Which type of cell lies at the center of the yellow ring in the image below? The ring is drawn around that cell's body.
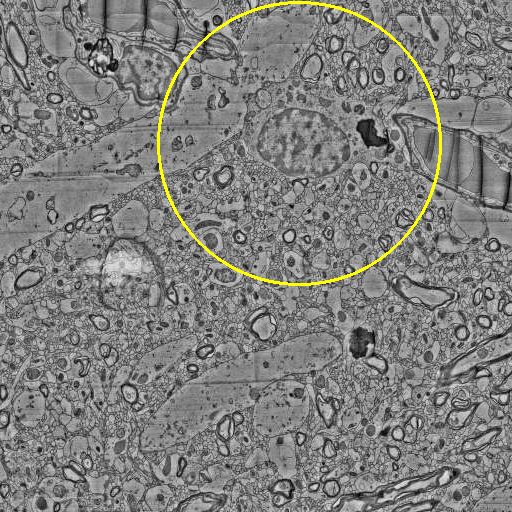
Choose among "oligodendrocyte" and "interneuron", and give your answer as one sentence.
The cell body at the center belongs to an oligodendrocyte.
